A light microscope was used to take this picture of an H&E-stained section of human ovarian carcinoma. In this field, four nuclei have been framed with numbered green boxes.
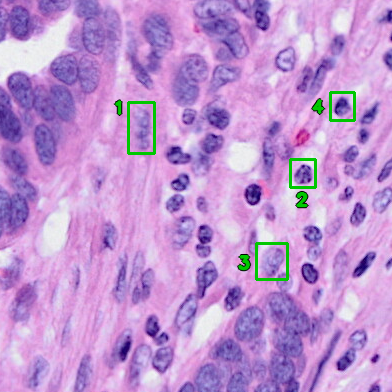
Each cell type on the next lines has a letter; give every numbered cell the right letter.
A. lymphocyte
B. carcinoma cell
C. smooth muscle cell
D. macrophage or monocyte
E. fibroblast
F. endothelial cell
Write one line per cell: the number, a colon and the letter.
1: E
2: A
3: E
4: A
